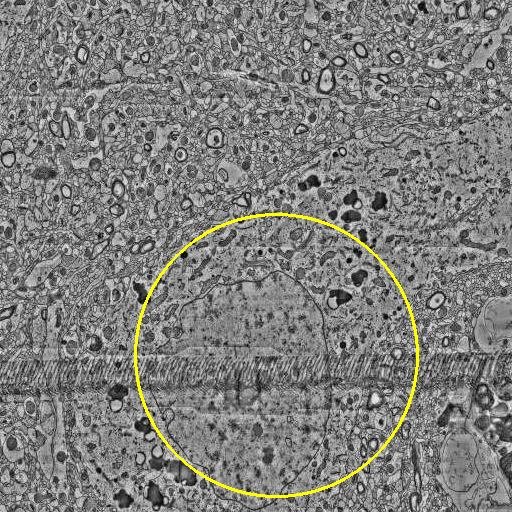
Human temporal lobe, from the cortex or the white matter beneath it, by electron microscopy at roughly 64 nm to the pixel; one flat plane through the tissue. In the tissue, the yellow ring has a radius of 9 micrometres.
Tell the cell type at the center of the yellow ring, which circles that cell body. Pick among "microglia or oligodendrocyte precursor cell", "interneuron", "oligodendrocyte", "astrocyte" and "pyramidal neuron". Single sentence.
The ring is centered on the body of a pyramidal neuron.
